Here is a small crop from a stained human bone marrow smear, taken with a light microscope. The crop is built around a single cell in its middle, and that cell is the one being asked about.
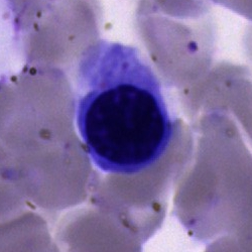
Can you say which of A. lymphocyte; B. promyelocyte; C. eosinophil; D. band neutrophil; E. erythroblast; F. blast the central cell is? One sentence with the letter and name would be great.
The cell occupying the centre is an erythroblast; option E is thus the correct choice.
